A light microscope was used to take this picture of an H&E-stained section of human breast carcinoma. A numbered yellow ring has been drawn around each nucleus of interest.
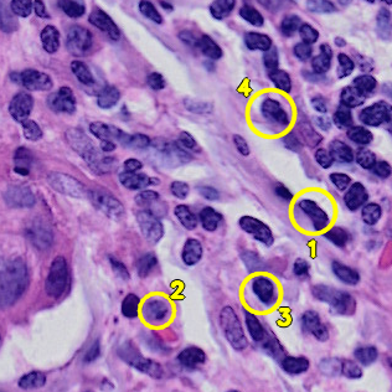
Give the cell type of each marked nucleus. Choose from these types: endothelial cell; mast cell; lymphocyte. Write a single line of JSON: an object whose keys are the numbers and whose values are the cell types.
{"1": "lymphocyte", "2": "endothelial cell", "3": "lymphocyte", "4": "lymphocyte"}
